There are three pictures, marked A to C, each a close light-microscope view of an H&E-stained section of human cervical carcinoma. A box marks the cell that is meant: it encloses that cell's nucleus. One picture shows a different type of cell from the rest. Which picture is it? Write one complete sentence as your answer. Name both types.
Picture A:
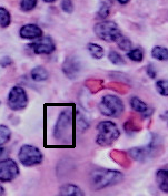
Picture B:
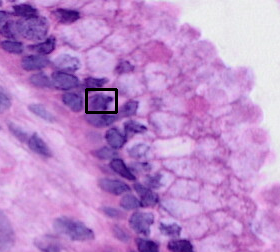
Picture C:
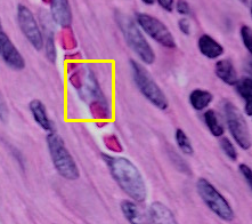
Picture B differs, because its cell is a secretory epithelial cell and the rest are endothelial cells.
